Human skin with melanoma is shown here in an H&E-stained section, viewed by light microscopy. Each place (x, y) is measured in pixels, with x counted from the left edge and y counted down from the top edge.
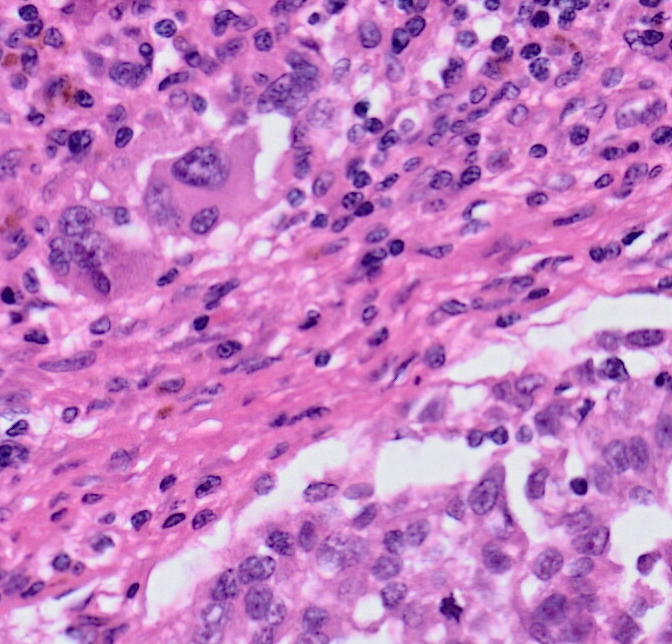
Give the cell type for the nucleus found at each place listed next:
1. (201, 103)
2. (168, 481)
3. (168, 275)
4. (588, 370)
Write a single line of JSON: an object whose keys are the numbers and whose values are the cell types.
{"1": "lymphocyte", "2": "lymphocyte", "3": "lymphocyte", "4": "melanoma cell"}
